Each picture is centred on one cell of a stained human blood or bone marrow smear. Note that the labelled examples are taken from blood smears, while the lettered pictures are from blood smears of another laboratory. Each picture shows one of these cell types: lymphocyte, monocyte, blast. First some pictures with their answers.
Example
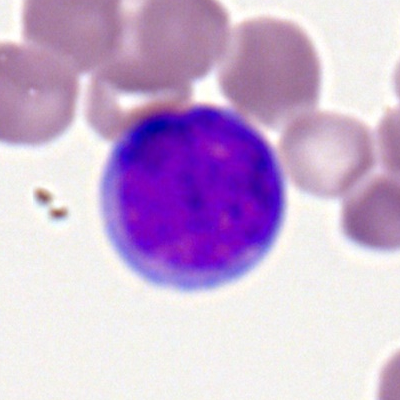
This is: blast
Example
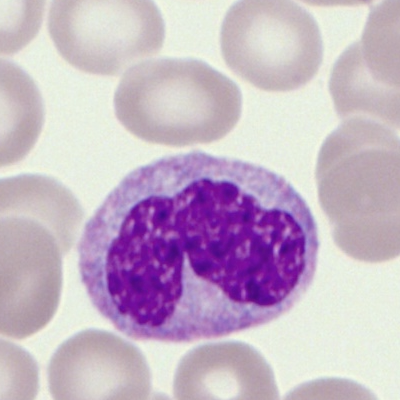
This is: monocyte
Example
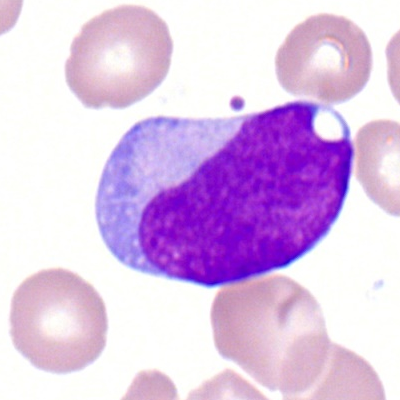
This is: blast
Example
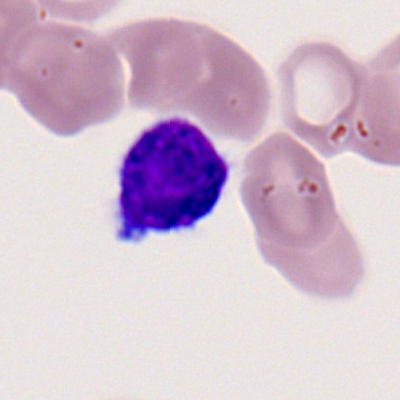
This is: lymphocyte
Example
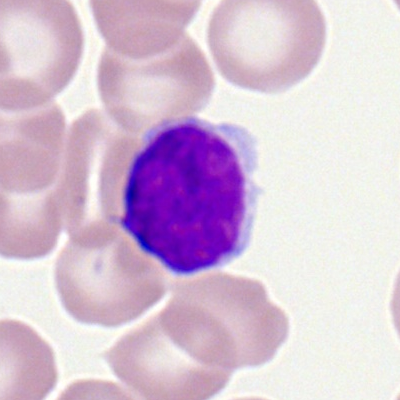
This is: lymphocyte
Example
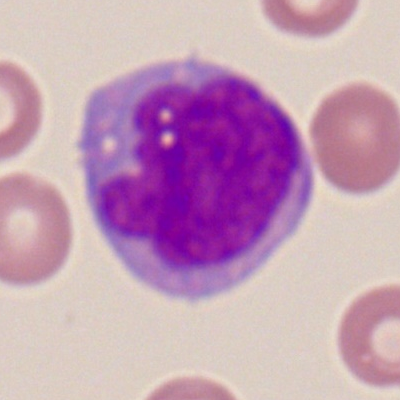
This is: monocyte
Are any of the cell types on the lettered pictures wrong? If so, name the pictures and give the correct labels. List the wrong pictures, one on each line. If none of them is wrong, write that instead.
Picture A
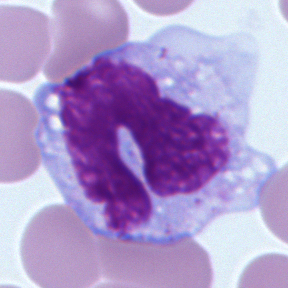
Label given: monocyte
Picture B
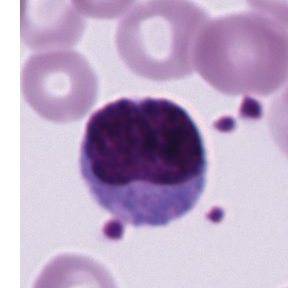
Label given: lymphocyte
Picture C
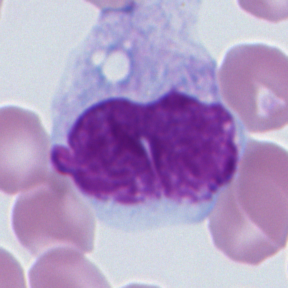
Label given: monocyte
B: monocyte, not lymphocyte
